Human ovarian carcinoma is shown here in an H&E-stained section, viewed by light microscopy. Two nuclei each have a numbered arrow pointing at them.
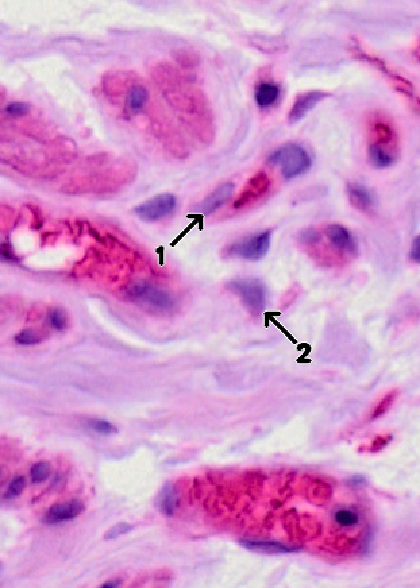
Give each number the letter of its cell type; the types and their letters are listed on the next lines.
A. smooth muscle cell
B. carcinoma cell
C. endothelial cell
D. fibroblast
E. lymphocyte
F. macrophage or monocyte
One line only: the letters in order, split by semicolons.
C; D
